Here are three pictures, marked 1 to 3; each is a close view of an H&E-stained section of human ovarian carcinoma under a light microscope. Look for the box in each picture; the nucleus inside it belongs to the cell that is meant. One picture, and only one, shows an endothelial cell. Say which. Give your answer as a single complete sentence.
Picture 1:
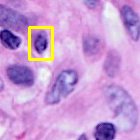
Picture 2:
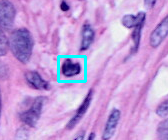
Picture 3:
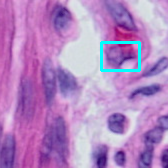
Picture 3 shows the endothelial cell.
